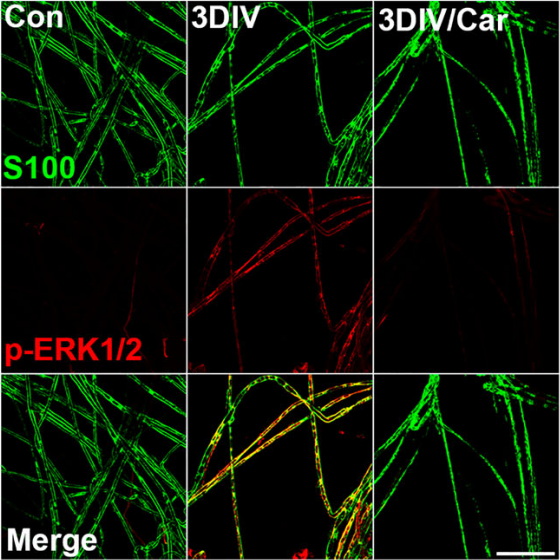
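These are teased nerve fibers seen by fluorescence, arranged as a grid of three columns and three rows. The top row shows green outlines of long, slender fibers that run in loose bundles and cross one another, each fiber edged by paired bright lines as if sheathed along its length. The middle row shows red staining, which is nearly absent in the left and right columns but clearly traces many fibers in the middle column. The bottom row overlays the two colours, so that in the middle column the fibers appear yellow to orange where red and green coincide, while the left and right columns stay mostly green. The fibers in the middle and right columns look somewhat beaded and irregular along their outlines compared with the smoother fibers on the left.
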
